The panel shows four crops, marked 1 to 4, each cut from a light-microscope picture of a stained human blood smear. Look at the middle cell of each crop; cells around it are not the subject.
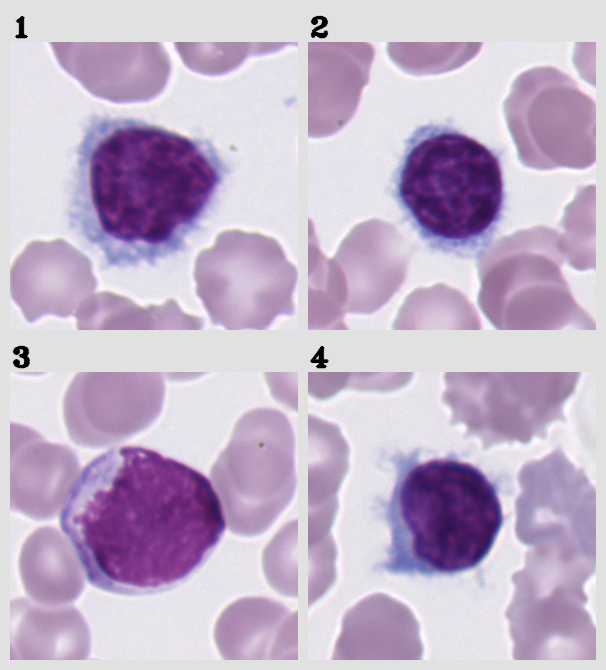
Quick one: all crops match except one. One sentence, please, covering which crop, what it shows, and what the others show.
A different cell type, a large granular lymphocyte, occupies crop 3; the other crops show hairy cells.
